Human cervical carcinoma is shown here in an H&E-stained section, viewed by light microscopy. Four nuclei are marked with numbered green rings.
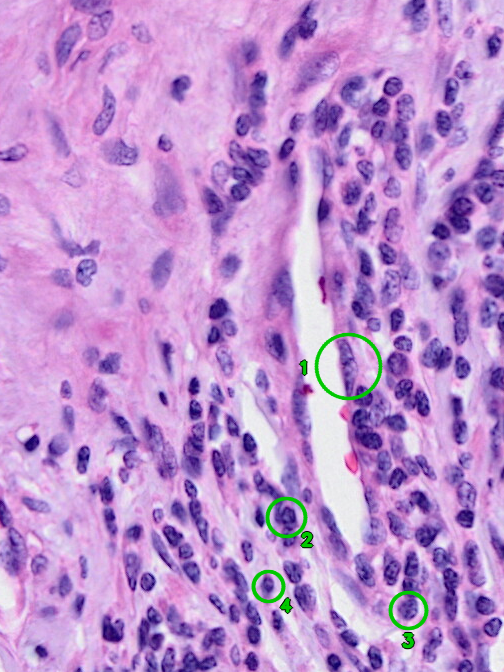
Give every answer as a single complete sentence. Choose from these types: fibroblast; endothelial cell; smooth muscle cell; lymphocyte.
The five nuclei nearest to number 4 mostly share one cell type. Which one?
The majority of the five nuclei closest to number 4 belong to lymphocytes.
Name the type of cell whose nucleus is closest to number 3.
Number 3 lies closest to the nucleus of a lymphocyte.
